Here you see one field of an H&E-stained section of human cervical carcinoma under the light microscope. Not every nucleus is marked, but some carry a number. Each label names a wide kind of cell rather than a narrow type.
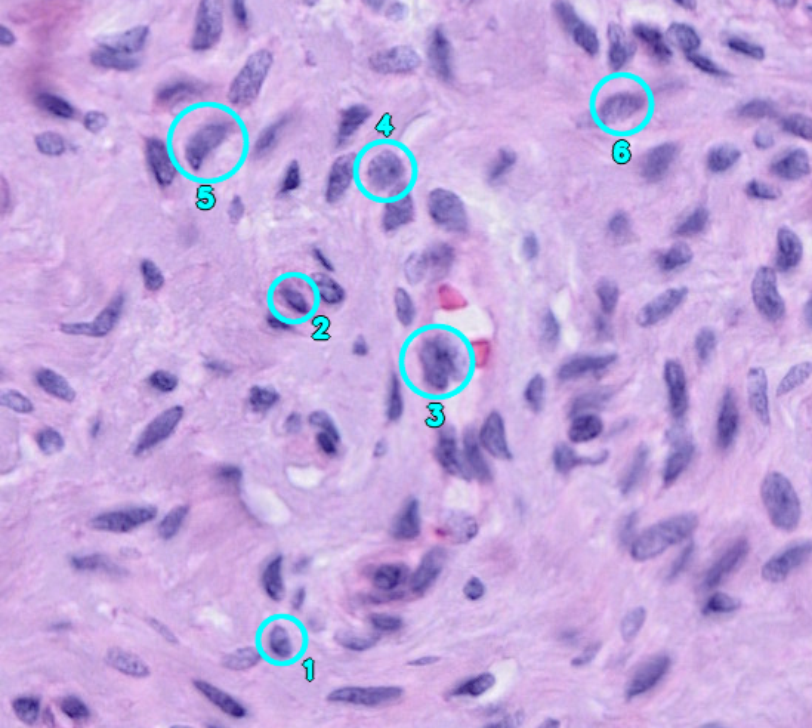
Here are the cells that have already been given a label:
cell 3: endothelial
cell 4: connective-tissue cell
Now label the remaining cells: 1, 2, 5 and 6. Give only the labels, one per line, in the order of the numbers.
connective-tissue cell
endothelial
connective-tissue cell
connective-tissue cell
